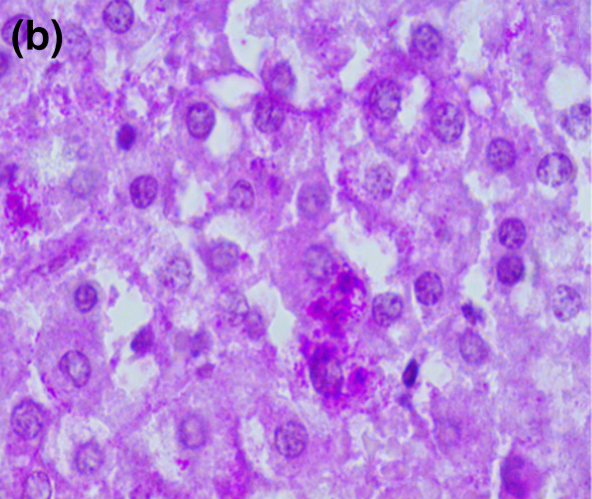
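This is liver tissue in which the hepatocyte cytoplasm stains magenta to purple and contains cytoplasmic granules. The hepatocytes have round nuclei with nucleoli, and coarse deep magenta granular clumps lie within the cytoplasm of some cells. Irregular clear spaces lie between and within the cells.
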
